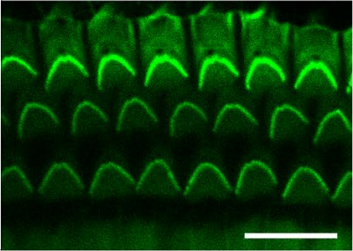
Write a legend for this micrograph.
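This view of the sensory epithelium shows three parallel rows of hair cell stereocilia bundles, brightly outlined in green. Each bundle is V-shaped, with its vertex pointing the same way, and the bundles are regularly spaced along each row. The row nearest the top is the brightest, while the lower two rows are somewhat fainter.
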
